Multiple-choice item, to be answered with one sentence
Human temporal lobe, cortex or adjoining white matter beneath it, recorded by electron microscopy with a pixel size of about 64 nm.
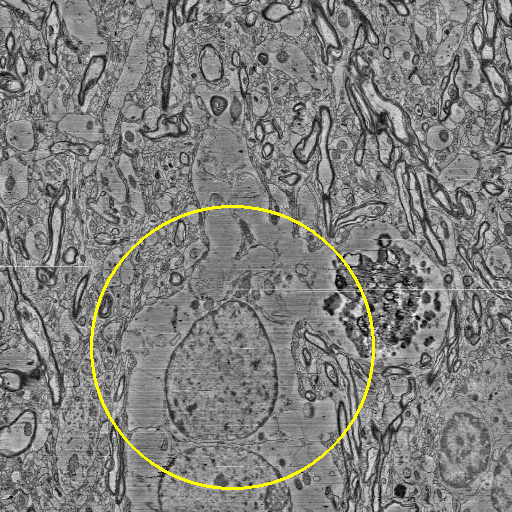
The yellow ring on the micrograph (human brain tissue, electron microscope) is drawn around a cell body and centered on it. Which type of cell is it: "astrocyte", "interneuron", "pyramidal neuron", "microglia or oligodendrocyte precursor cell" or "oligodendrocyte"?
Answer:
The ring is centered on an astrocyte.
